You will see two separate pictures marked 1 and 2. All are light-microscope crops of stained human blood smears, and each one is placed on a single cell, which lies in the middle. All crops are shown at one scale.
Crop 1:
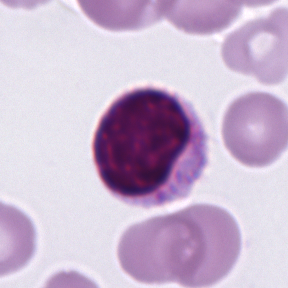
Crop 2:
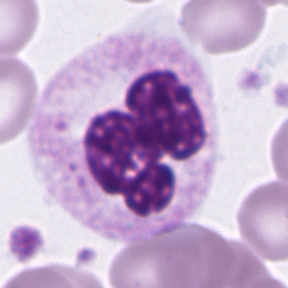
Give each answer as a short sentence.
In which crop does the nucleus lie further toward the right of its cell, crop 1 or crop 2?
Seen within its cell, the nucleus in crop 2 lies further toward the right.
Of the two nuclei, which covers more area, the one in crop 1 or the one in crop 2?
Crop 2 shows the larger nucleus; it covers about 1.5 times the area of the nucleus in crop 1.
